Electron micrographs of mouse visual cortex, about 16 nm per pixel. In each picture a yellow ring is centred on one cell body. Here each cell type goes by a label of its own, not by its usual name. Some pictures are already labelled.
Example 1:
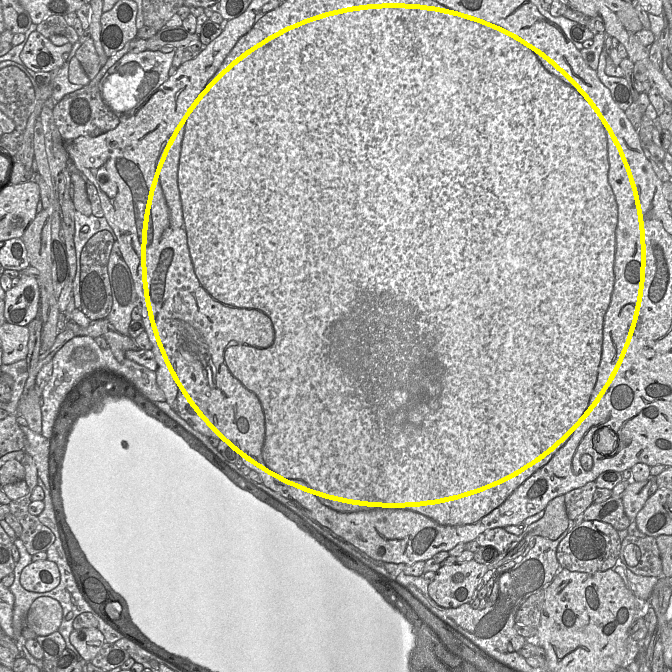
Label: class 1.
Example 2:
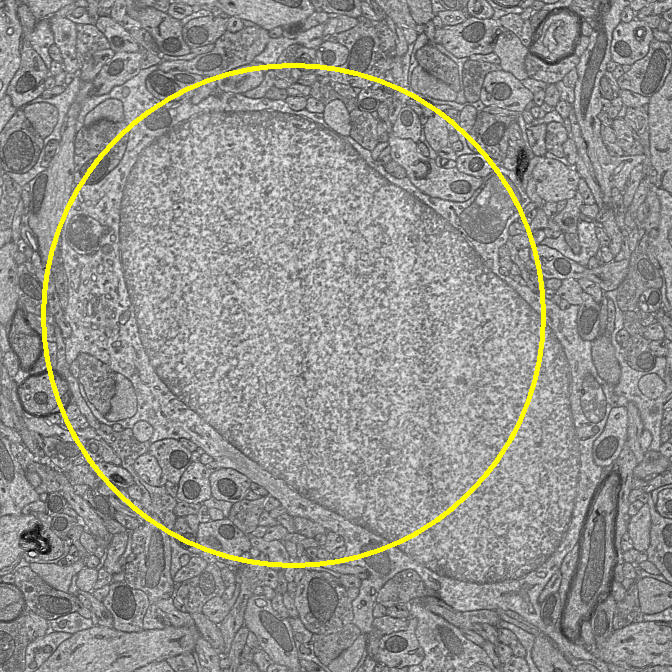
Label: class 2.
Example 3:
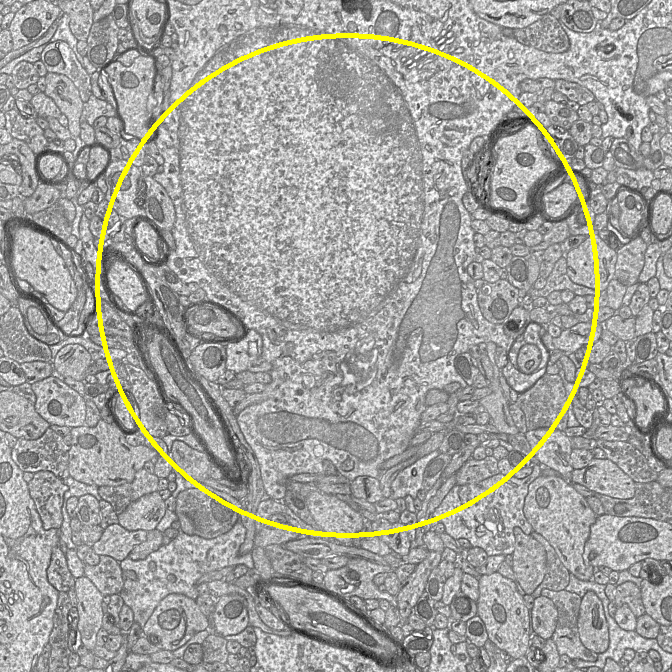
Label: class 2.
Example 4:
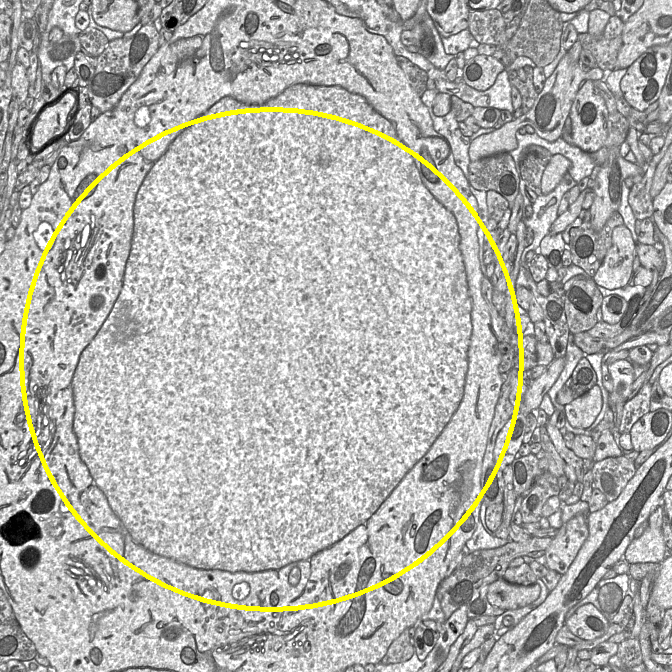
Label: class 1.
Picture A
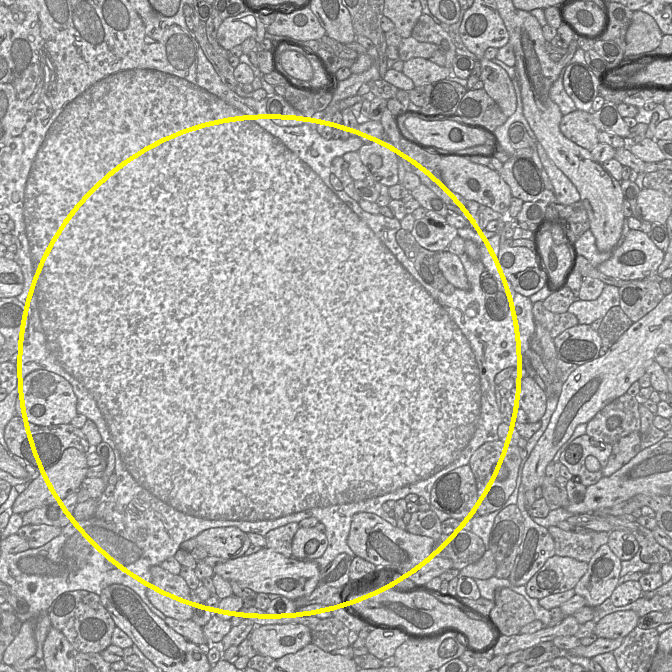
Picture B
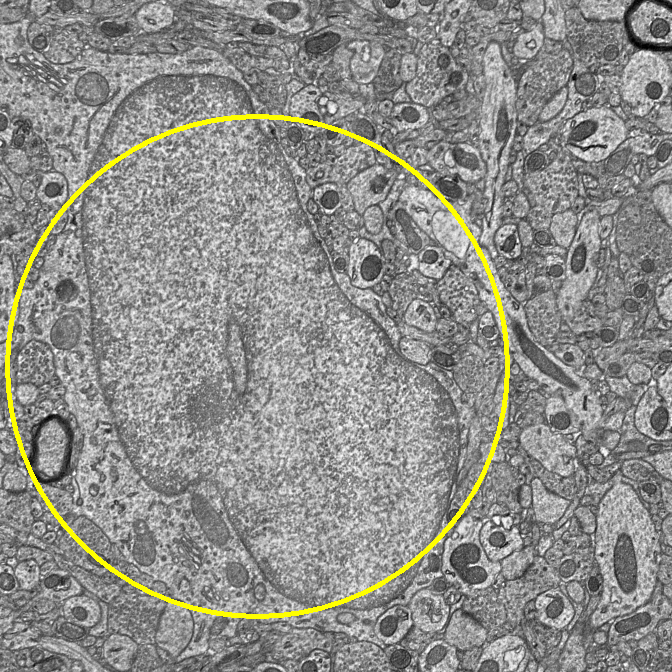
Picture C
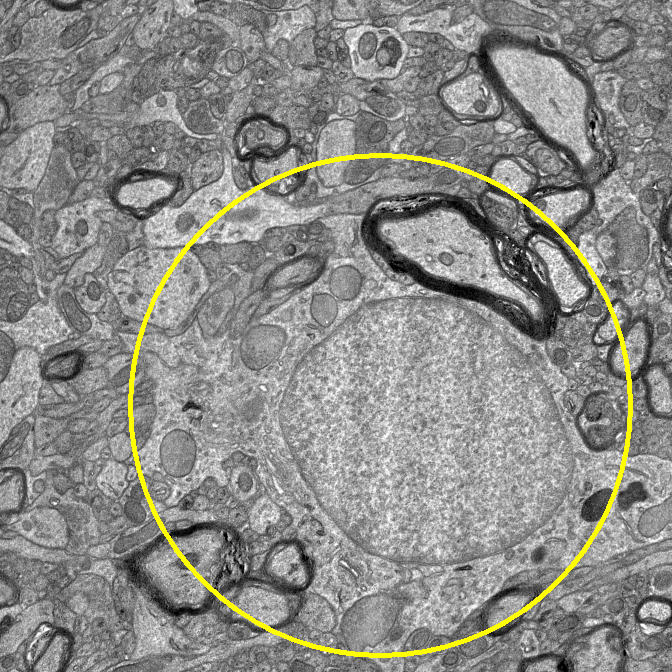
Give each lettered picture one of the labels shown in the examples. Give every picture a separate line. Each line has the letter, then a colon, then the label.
A: class 2.
B: class 2.
C: class 2.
